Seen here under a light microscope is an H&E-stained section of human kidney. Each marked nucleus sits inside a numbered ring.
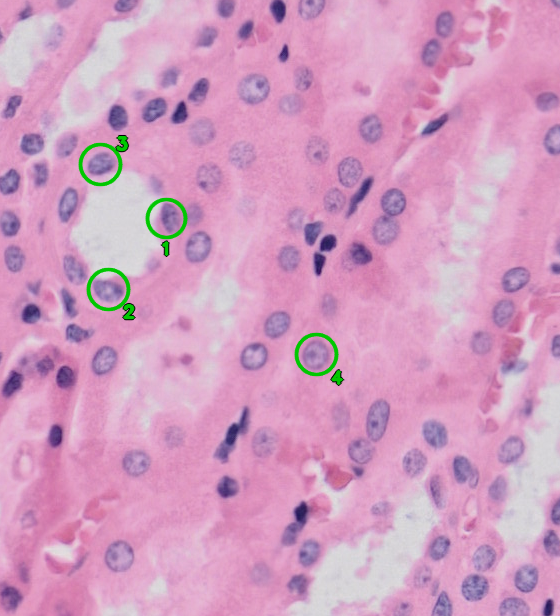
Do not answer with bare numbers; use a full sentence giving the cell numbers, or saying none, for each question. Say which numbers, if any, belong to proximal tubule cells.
There is just one numbered cell that is a proximal tubule cell, and it is cell 4.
